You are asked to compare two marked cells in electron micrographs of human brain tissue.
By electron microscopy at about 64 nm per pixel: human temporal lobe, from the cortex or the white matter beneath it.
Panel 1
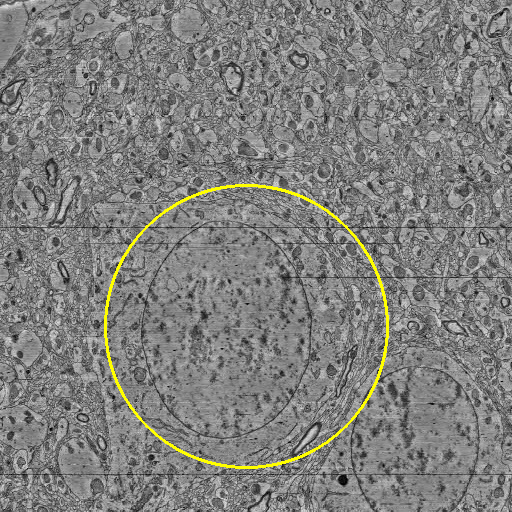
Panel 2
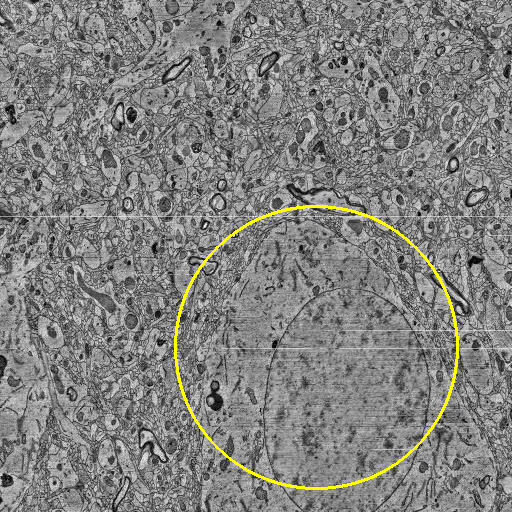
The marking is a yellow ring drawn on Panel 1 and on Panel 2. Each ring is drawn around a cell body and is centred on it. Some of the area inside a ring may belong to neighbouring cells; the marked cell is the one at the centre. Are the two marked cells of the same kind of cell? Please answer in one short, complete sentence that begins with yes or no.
Yes, the two marked cells are of the same kind.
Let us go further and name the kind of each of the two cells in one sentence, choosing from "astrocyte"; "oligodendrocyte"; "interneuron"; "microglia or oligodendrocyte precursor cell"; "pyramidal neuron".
Each of the two rings is centred on a pyramidal neuron.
